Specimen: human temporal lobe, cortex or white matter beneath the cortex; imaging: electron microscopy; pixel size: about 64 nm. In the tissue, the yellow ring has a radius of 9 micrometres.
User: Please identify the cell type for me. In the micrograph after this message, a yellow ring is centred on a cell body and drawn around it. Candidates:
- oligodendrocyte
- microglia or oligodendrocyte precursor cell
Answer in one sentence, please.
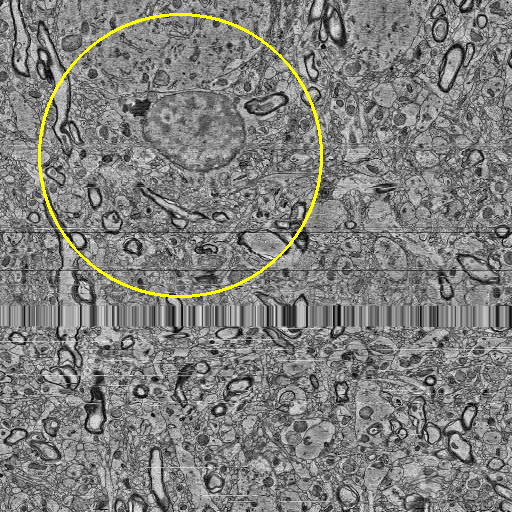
The ring is drawn around the cell body of an oligodendrocyte.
